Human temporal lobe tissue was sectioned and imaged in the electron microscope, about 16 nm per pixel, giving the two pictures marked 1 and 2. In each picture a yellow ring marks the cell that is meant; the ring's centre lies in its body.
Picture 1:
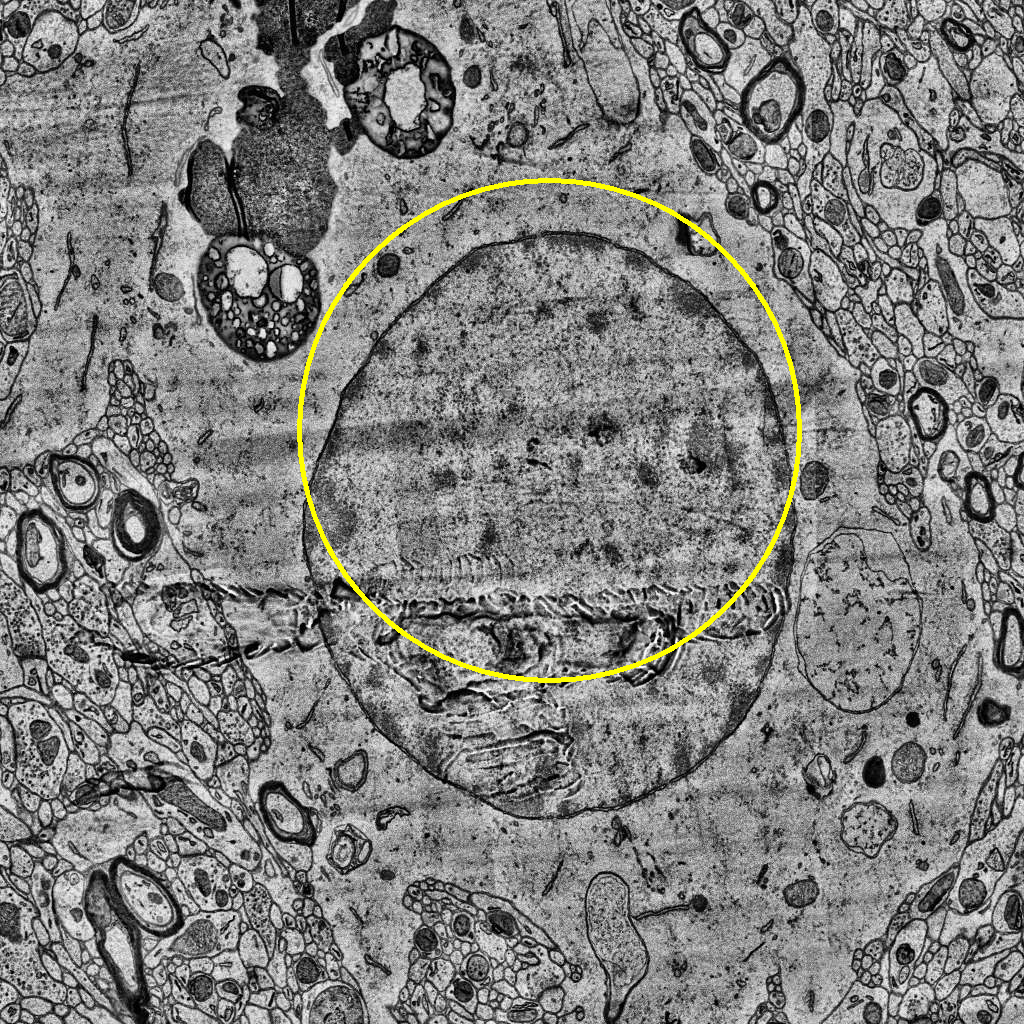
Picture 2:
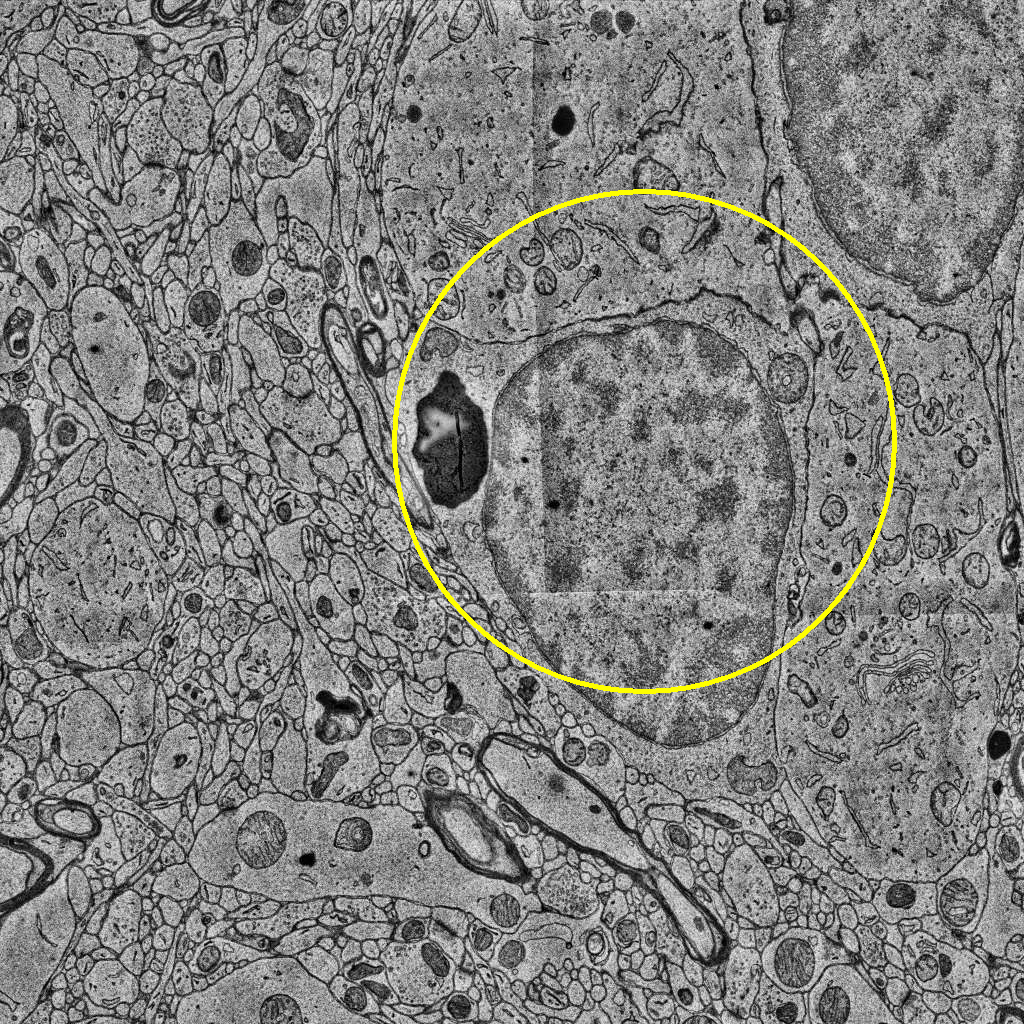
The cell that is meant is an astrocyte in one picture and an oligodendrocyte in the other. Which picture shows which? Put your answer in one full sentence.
Picture 1 is of an astrocyte, and picture 2 is of an oligodendrocyte.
